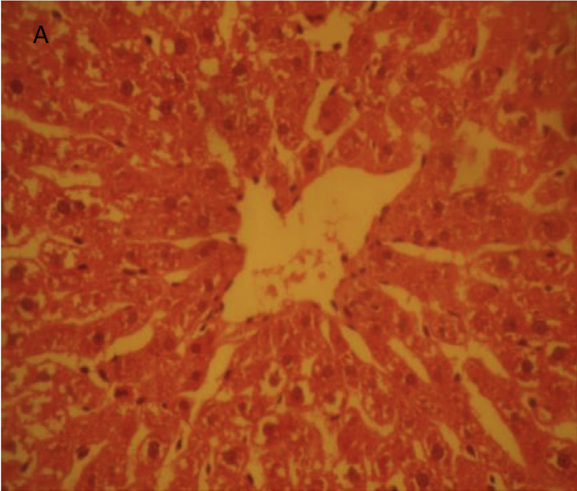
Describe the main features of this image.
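Liver tissue in which cords of hepatocytes radiate outward from a large, irregular central vessel-like space. The hepatocytes have finely granular pink cytoplasm and round dark nuclei, and pale sinusoids separate the cords.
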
